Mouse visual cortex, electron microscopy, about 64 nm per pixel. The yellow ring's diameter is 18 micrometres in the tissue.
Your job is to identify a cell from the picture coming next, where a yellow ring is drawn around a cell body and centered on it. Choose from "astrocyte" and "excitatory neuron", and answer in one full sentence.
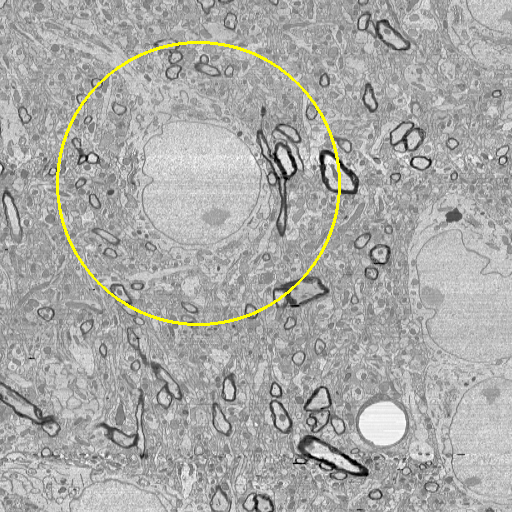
Centered in the yellow ring of the picture is the body of an excitatory neuron.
